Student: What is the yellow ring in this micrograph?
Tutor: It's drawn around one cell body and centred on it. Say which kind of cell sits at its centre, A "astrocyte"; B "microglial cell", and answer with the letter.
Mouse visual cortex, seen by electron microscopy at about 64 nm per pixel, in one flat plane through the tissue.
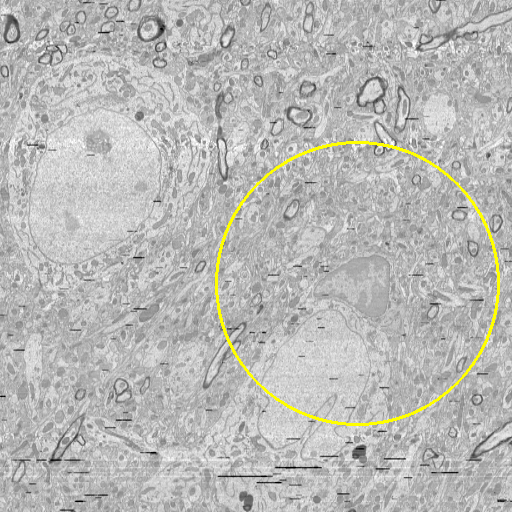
B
